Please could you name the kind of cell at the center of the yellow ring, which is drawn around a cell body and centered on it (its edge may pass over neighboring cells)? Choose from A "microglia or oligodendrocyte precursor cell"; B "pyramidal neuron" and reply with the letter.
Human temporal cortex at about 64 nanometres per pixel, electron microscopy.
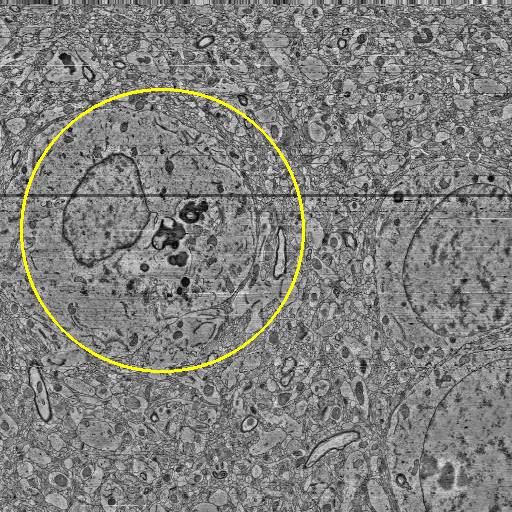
B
